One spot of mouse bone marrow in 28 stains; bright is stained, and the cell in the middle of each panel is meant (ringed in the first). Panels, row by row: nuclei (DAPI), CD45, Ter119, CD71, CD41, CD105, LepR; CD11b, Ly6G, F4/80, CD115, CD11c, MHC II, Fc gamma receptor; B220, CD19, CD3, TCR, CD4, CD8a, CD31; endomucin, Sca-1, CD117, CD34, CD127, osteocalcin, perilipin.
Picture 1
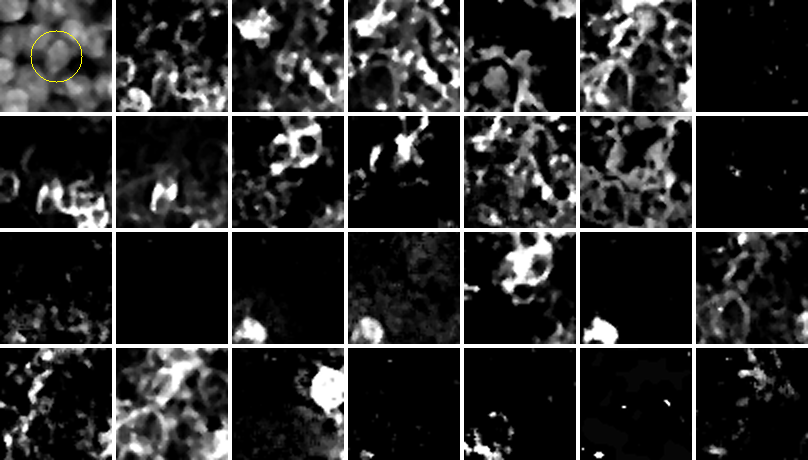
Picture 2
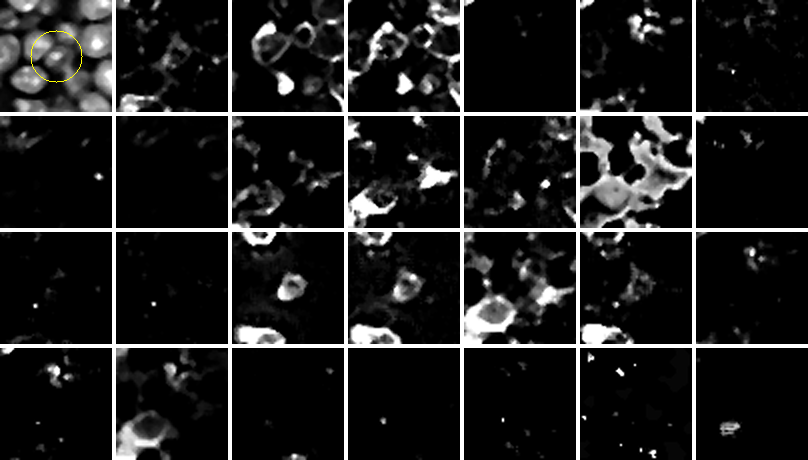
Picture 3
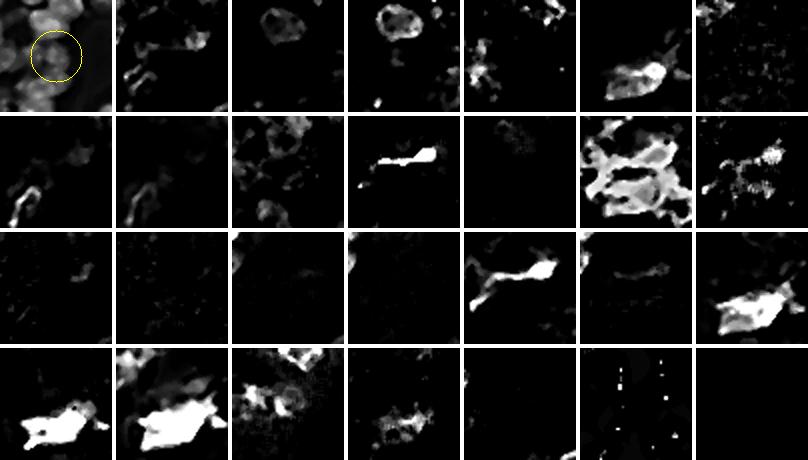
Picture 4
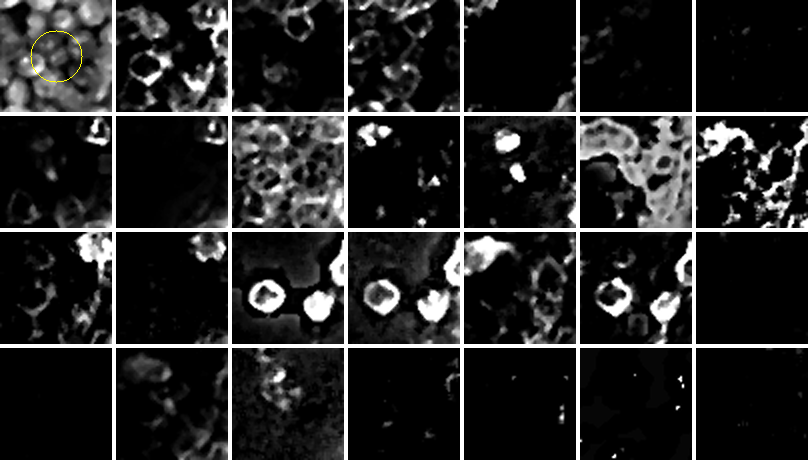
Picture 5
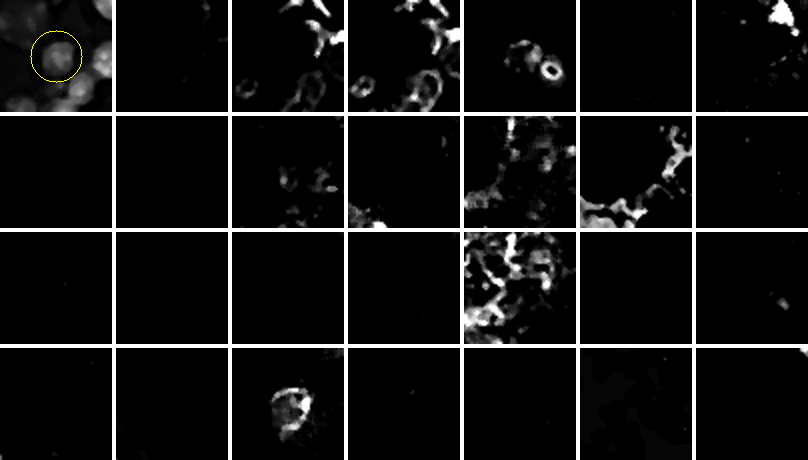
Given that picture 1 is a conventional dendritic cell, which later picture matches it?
4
